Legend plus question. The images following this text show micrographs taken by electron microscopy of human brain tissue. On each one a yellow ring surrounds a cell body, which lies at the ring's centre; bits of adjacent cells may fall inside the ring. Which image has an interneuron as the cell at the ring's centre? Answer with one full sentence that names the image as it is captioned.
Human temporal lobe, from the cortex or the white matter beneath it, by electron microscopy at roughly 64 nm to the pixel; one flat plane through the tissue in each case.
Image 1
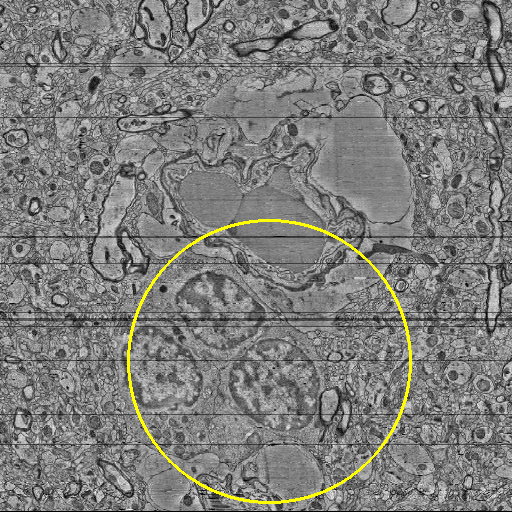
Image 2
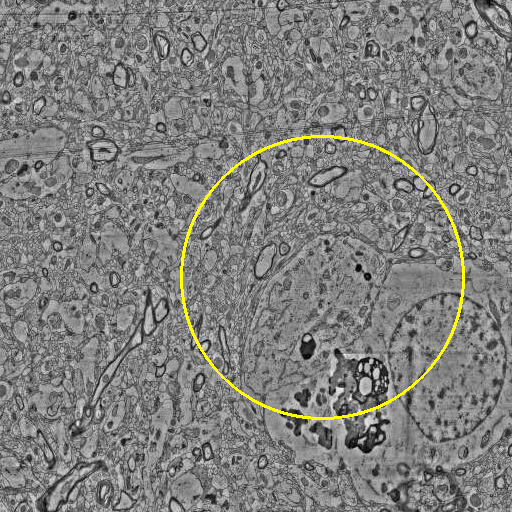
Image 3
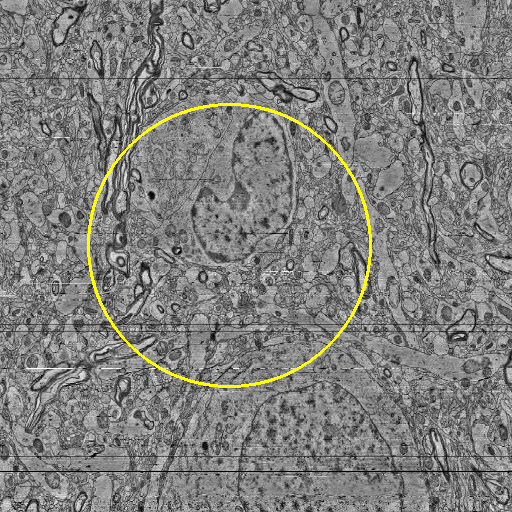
The centred cell that was asked for is the one in Image 2.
